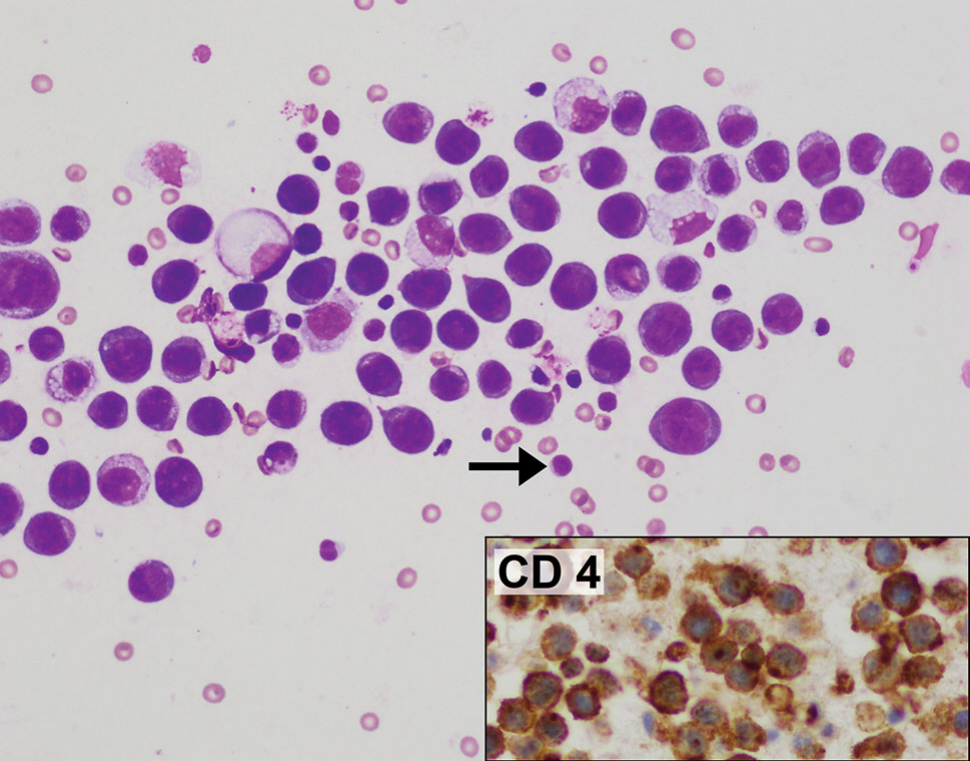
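The tumour cells are round to oval and have large, dense purple nuclei. Most have only a thin rim of cytoplasm, and some nuclei are indented or irregular in outline. A few large cells with pale, vacuolated cytoplasm lie among them. In the inset, most of the large cells show brown staining at their borders and in their cytoplasm around blue nuclei, while a few smaller cells stay unstained.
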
